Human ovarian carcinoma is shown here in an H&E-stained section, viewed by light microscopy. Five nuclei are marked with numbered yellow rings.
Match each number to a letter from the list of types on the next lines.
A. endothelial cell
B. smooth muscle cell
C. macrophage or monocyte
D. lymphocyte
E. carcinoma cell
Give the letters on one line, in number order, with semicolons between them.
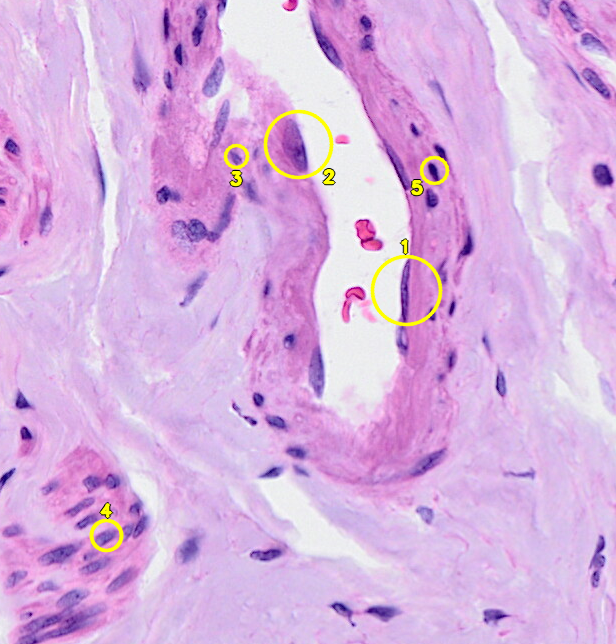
A; A; B; B; B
